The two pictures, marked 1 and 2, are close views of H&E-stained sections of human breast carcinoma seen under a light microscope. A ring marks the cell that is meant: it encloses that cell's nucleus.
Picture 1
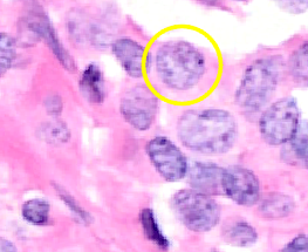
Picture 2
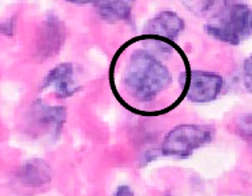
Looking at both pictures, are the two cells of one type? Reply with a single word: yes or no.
yes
